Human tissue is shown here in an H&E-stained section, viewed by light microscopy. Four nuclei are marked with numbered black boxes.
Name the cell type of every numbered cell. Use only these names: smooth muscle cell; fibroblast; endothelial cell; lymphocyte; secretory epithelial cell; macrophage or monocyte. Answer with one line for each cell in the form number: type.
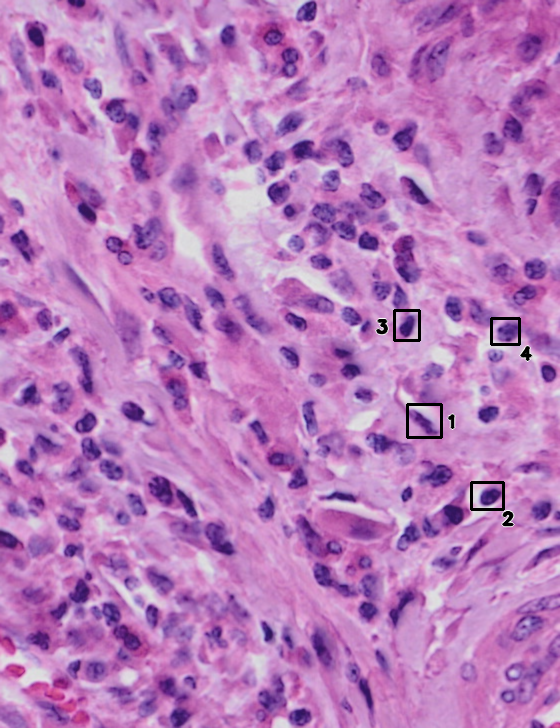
1: endothelial cell
2: lymphocyte
3: lymphocyte
4: lymphocyte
